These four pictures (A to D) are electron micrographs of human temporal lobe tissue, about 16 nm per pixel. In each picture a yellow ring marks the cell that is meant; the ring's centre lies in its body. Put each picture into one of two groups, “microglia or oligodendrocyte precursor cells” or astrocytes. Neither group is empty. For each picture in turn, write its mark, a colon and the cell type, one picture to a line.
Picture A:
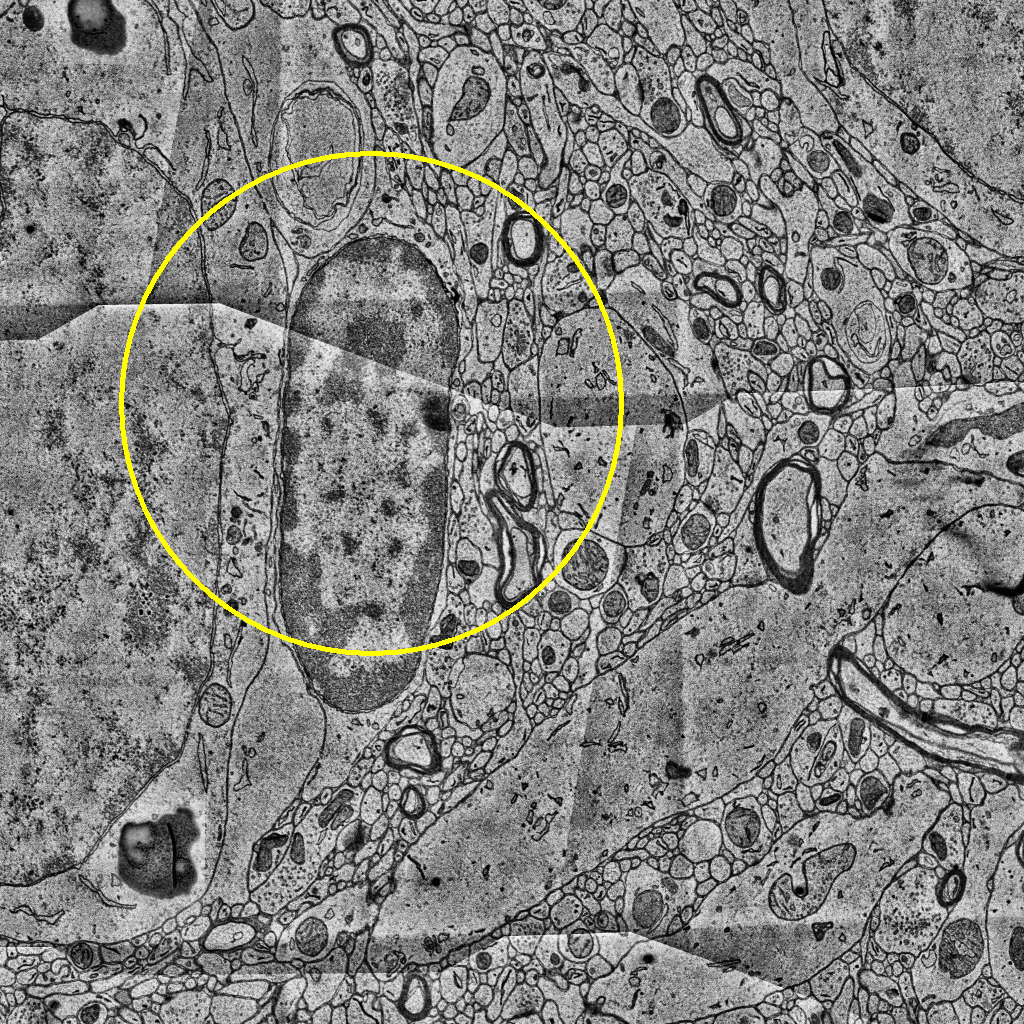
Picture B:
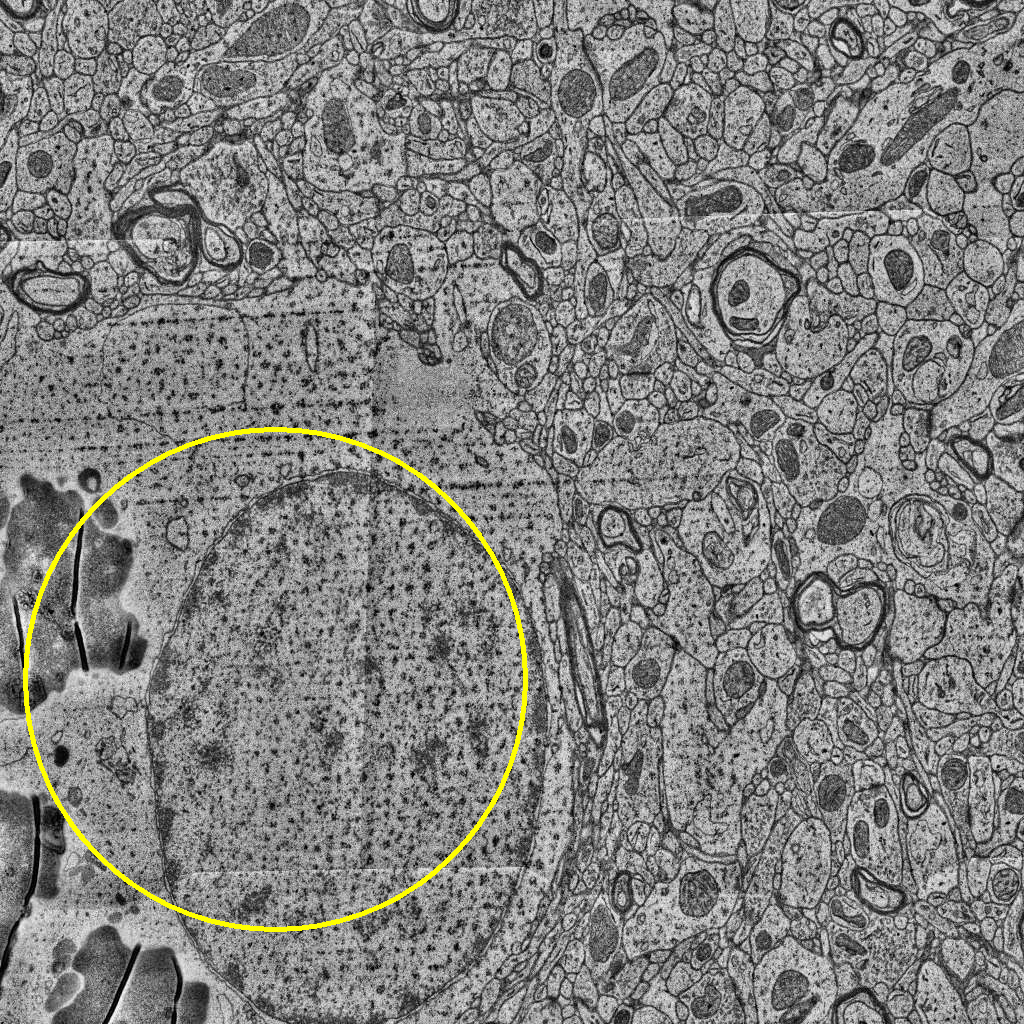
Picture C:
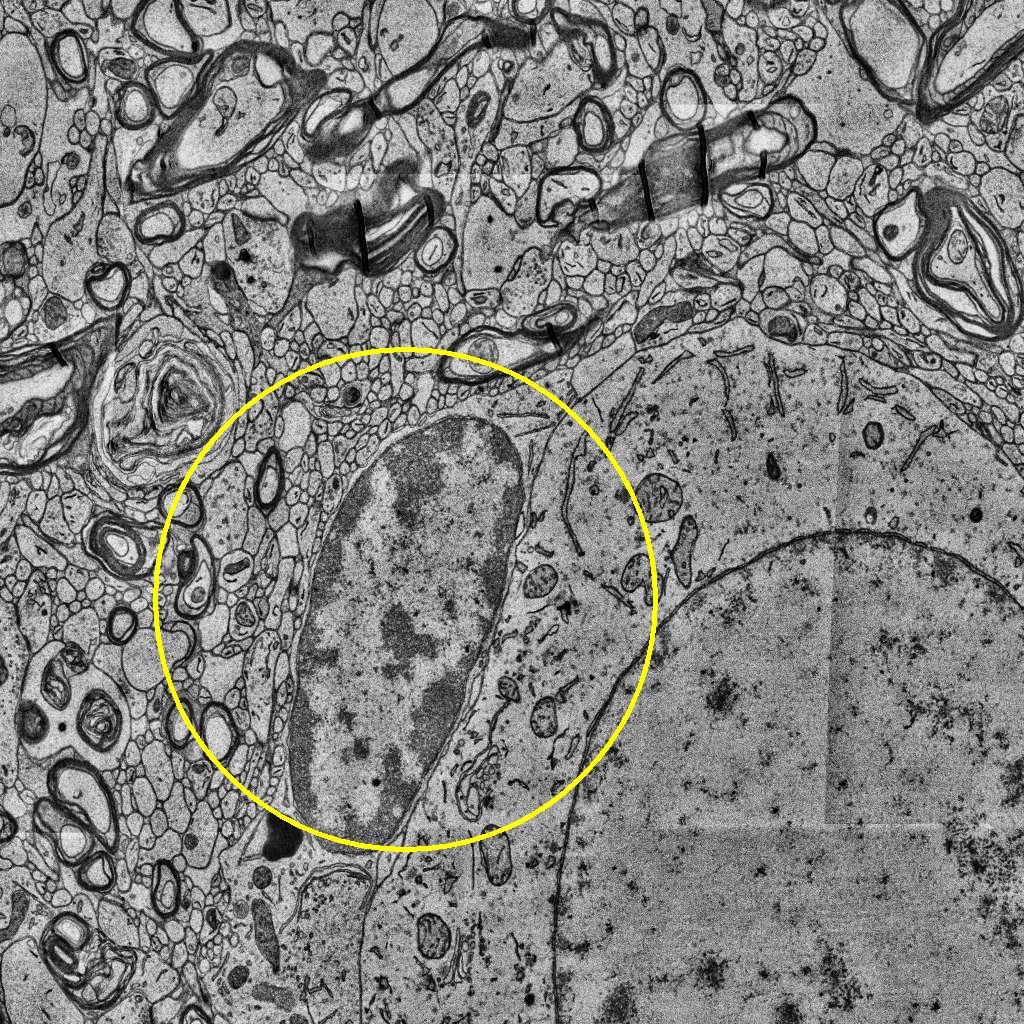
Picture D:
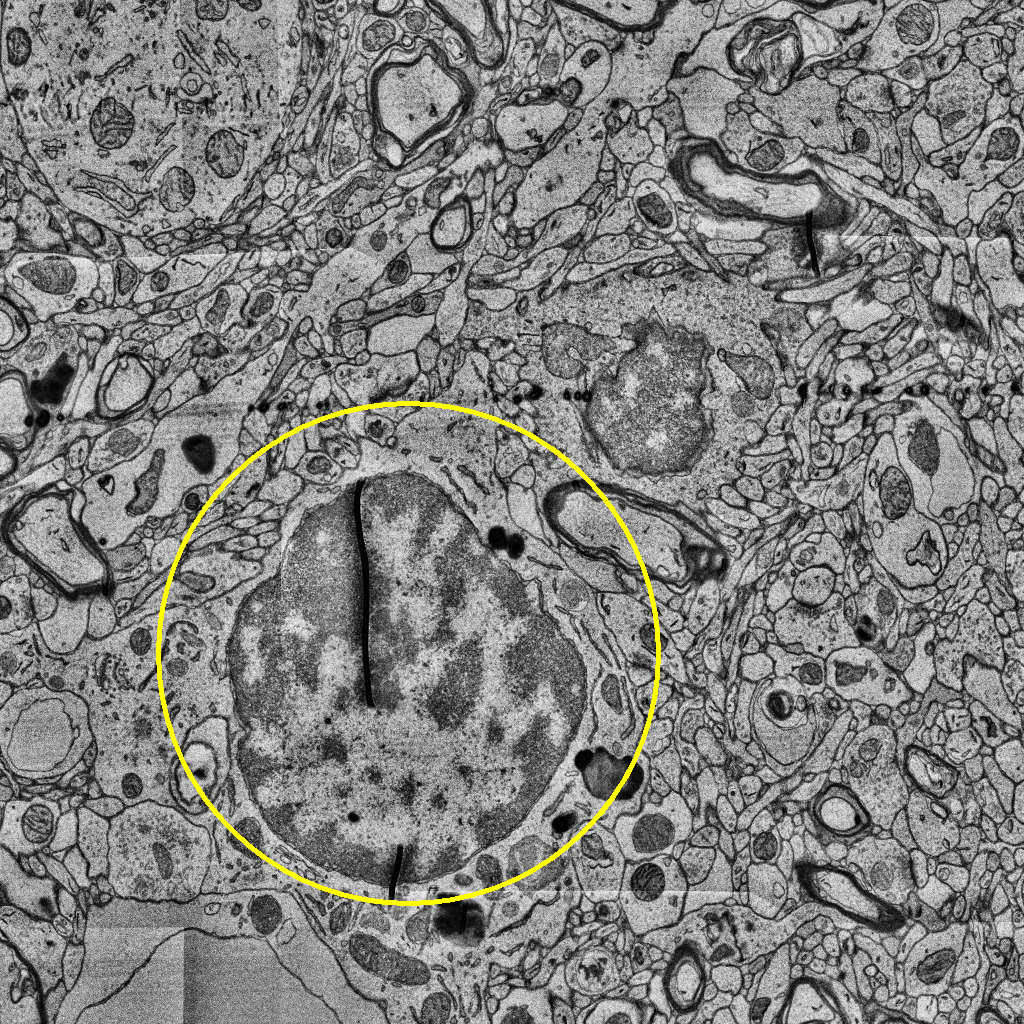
A: microglia or oligodendrocyte precursor cell
B: astrocyte
C: microglia or oligodendrocyte precursor cell
D: microglia or oligodendrocyte precursor cell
